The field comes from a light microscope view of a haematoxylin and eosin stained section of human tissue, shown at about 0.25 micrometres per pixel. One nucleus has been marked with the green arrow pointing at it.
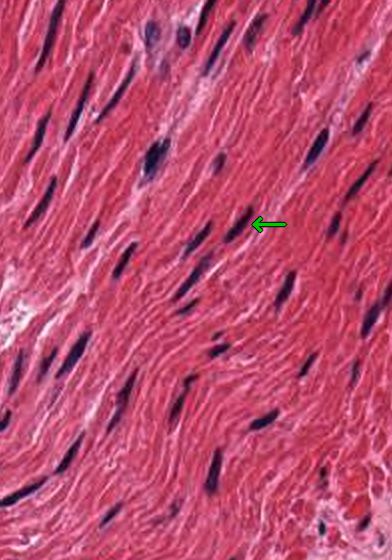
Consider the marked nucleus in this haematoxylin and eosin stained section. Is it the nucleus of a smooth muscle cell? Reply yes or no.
yes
